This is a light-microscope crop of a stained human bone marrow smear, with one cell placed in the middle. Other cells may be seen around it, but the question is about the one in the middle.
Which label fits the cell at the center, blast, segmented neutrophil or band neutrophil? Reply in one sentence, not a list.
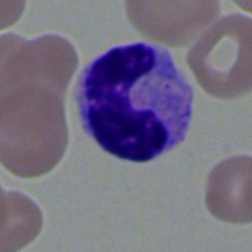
The crop centres on a single cell, and that cell is a segmented neutrophil.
